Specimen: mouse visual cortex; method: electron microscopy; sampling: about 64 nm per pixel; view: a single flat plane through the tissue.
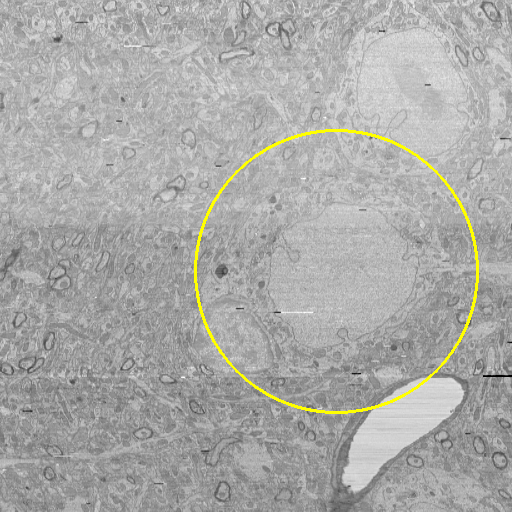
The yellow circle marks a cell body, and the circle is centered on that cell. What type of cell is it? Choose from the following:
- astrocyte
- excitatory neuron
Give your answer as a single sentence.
This cell body belongs to an excitatory neuron.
